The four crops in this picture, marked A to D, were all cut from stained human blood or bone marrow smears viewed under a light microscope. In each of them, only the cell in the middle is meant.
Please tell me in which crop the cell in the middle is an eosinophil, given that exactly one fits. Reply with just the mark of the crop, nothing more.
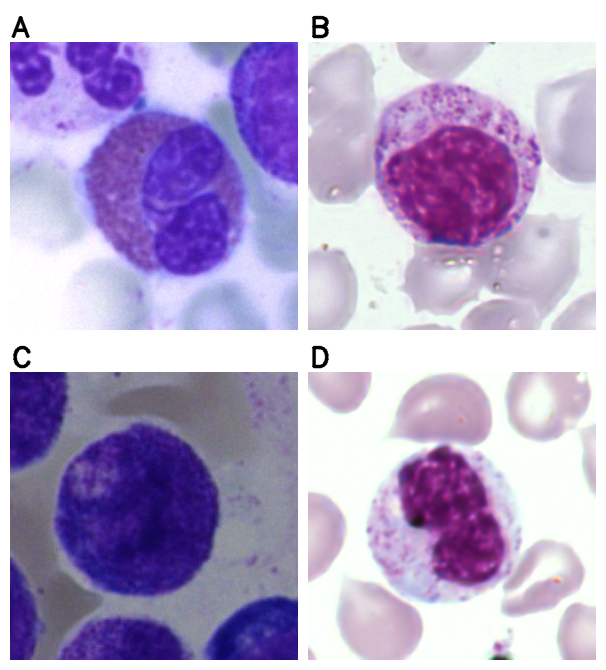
A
